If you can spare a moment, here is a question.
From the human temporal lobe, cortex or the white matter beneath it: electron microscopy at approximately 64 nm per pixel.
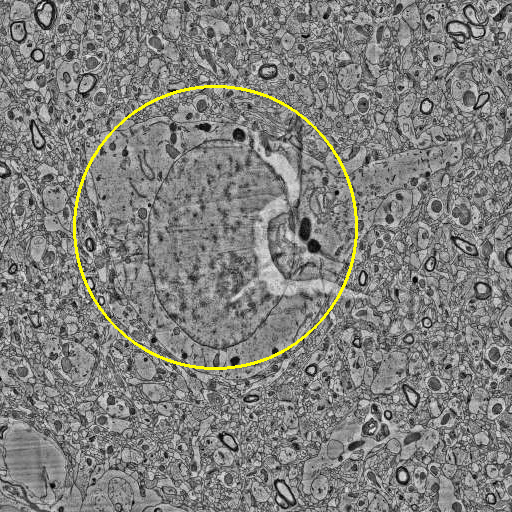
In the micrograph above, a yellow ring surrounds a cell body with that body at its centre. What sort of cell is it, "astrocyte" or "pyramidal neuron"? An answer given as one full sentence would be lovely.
Centred inside the yellow ring, the cell body shown belongs to a pyramidal neuron in this micrograph.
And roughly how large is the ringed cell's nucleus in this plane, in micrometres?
The nucleus works out at approximately 13 by 9 micrometres in this plane.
